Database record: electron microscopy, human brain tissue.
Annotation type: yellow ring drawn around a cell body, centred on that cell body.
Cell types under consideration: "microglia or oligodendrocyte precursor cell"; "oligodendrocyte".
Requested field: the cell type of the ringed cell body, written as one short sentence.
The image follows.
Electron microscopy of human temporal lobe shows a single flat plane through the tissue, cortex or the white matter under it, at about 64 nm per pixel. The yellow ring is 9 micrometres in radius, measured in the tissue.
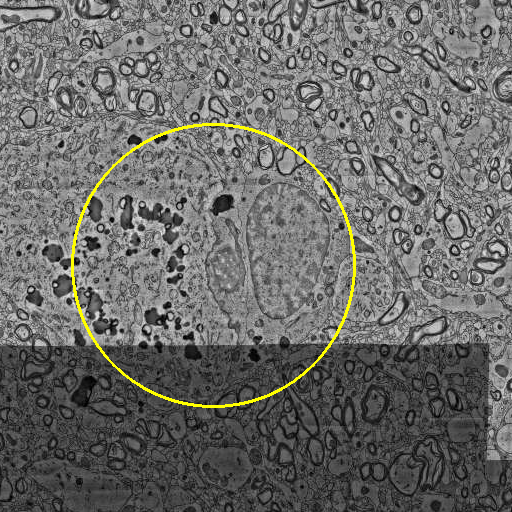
The ringed cell body represents an oligodendrocyte.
